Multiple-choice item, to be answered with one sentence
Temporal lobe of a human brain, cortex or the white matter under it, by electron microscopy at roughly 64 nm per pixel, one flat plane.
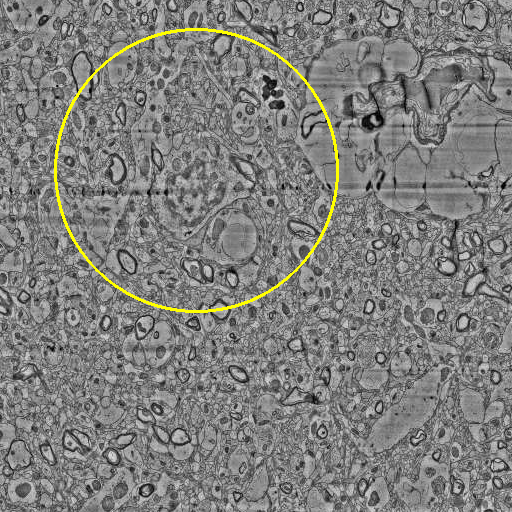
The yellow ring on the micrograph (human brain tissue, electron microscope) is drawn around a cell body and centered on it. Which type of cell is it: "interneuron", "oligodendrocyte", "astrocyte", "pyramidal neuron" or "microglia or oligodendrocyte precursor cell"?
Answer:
The ring is centered on an interneuron.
